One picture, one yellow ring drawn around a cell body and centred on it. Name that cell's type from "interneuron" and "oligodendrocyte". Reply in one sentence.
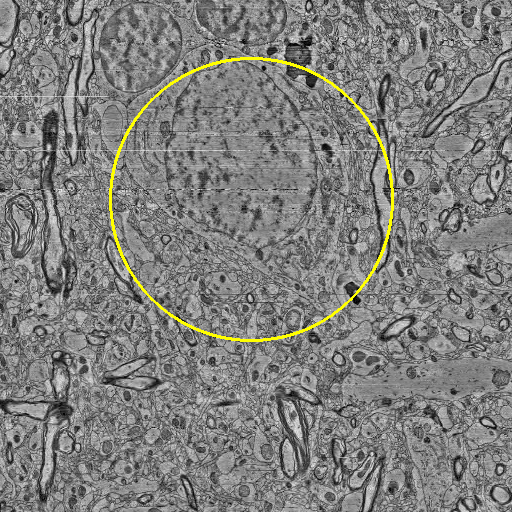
Centred in the ring is an interneuron.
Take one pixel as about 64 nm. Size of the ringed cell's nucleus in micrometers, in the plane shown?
About 12 by 10 micrometers for the nucleus, in this plane.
